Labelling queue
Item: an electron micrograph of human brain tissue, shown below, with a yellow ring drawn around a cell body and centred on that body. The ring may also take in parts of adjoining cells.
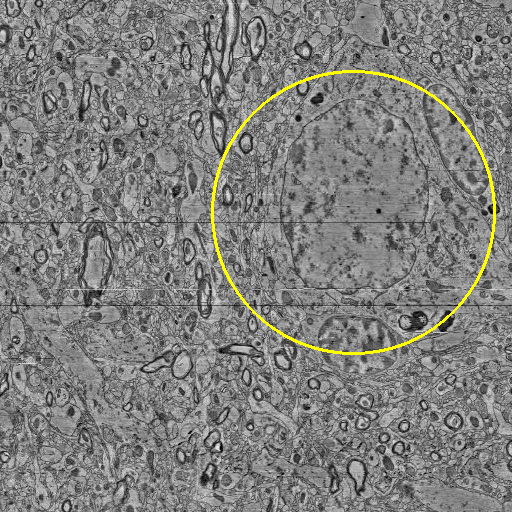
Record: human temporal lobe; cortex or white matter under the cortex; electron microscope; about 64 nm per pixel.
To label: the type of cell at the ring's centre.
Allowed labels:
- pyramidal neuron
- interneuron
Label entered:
pyramidal neuron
